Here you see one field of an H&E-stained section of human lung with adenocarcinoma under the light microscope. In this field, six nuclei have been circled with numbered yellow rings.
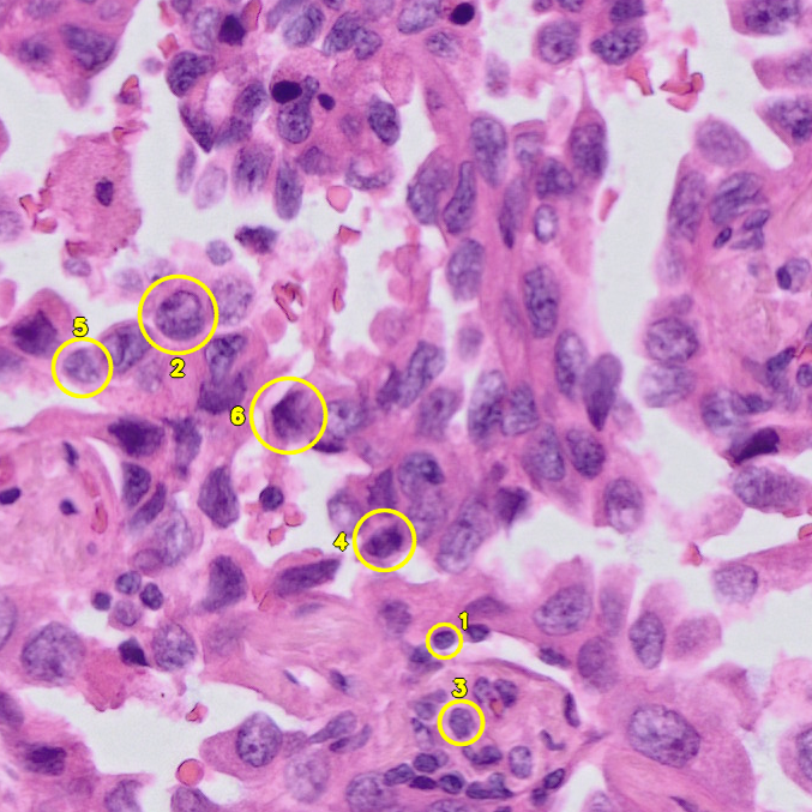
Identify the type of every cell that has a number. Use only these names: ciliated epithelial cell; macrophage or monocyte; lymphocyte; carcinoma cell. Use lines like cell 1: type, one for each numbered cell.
cell 1: lymphocyte
cell 2: carcinoma cell
cell 3: lymphocyte
cell 4: carcinoma cell
cell 5: carcinoma cell
cell 6: carcinoma cell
